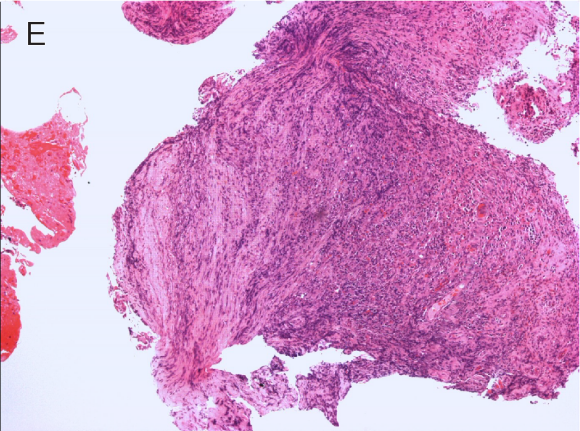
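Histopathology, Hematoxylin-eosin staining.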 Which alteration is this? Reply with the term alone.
Inflammatory granulation tissue hyperplasia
